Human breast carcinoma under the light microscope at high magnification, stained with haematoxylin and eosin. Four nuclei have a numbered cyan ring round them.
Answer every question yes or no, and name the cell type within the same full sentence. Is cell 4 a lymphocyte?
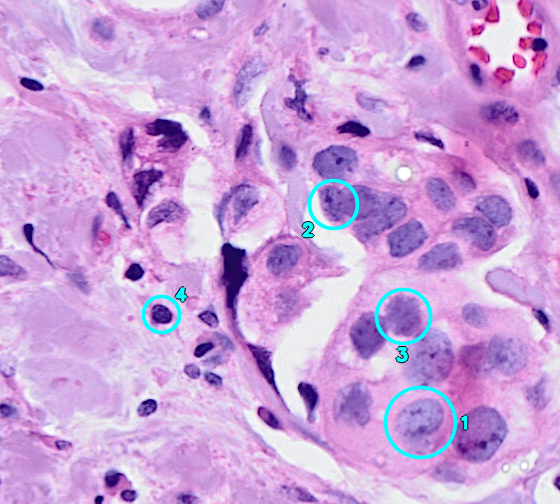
Yes, the cell that the number 4 labels is a lymphocyte.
